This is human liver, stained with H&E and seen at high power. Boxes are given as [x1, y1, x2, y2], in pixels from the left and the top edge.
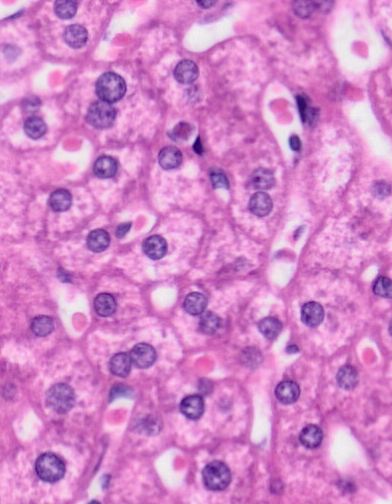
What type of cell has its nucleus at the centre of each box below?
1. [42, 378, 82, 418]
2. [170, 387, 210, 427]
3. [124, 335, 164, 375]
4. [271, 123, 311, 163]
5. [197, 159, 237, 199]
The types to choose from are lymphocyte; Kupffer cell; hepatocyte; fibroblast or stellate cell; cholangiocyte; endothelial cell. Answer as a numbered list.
1. hepatocyte
2. hepatocyte
3. hepatocyte
4. lymphocyte
5. endothelial cell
